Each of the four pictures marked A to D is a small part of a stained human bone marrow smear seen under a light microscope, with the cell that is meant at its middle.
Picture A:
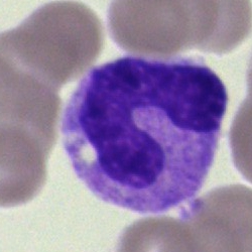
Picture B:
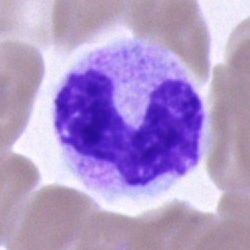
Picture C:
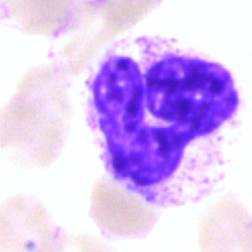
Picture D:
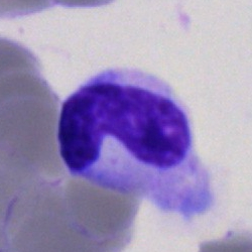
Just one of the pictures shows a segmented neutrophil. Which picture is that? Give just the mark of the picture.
C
